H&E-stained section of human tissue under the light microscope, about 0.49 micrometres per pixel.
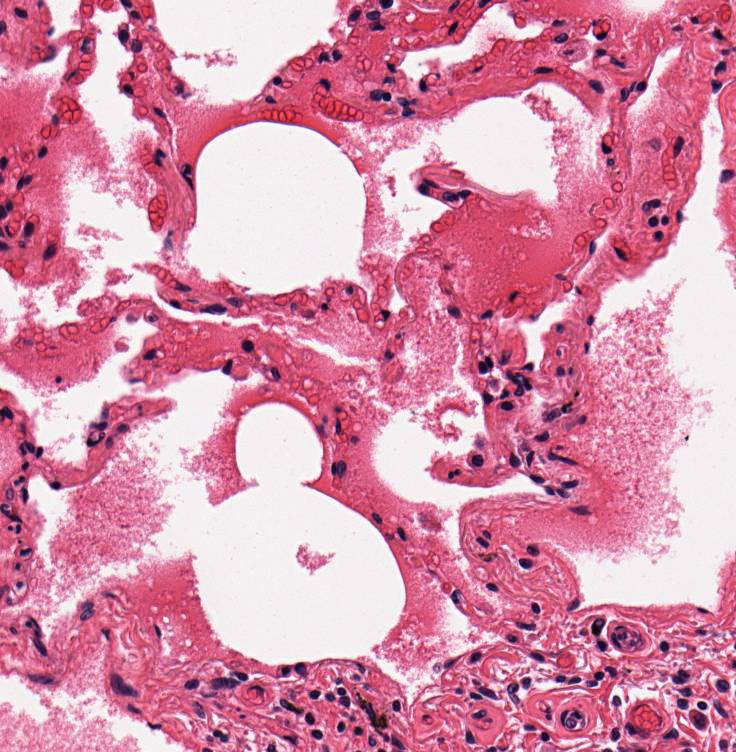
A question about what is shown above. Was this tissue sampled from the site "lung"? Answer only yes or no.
yes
